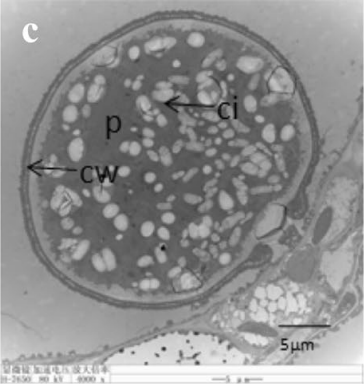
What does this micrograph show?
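A mature pollen grain is cut in section, nearly round and enclosed by a thick, layered wall with a beaded outer surface. Its cytoplasm is dense and dark and is packed with many pale, oval to rounded inclusions of varying size scattered throughout. Around the grain lie remnants of anther tissue, including a cell filled with pale vesicles at the lower right.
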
